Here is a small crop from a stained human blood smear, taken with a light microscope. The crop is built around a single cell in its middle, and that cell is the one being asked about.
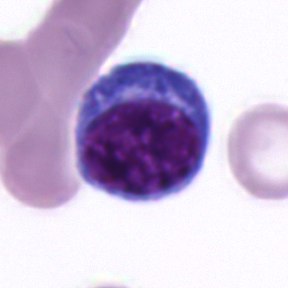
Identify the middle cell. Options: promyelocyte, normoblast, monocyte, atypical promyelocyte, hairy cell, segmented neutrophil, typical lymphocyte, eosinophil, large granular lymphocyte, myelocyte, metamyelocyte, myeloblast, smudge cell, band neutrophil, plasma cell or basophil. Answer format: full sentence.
The centrally positioned cell in the crop represents a plasma cell.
